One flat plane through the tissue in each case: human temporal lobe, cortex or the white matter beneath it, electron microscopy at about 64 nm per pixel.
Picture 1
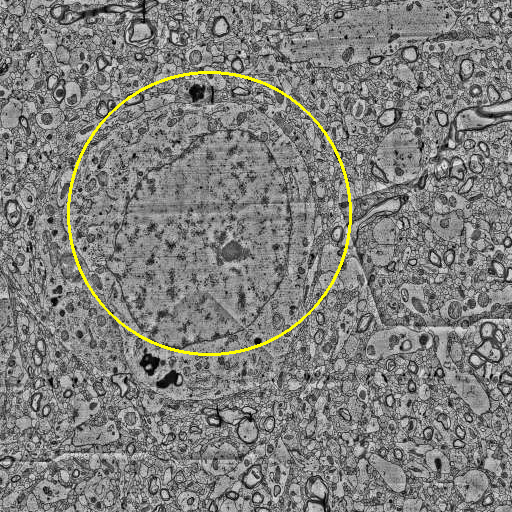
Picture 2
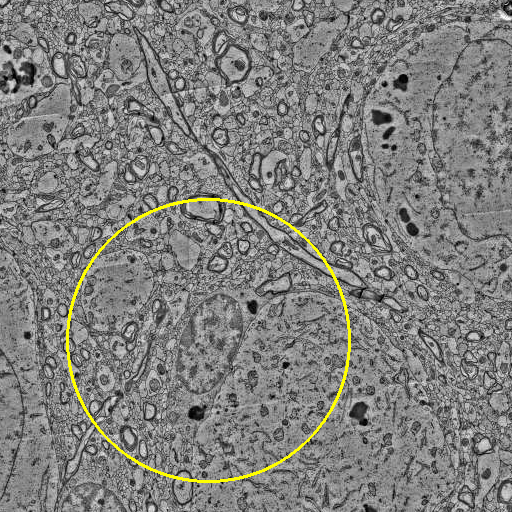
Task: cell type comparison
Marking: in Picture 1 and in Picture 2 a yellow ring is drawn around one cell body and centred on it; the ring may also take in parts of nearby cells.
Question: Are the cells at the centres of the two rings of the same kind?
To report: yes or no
no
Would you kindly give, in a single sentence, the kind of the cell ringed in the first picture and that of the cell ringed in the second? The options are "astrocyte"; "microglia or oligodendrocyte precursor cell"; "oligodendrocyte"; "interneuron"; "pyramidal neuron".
The second cell is an oligodendrocyte, and the first cell is a pyramidal neuron.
